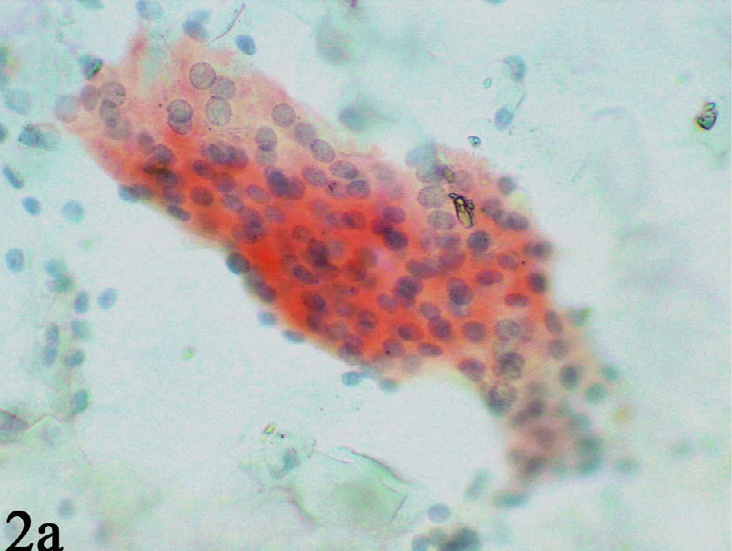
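A cohesive, crowded sheet of small epithelial cells lies on a pale background. Their nuclei are round to oval, fairly uniform, and dark blue-grey. Some nuclei at the upper edge look paler and more open. The cells share a dense orange-red cytoplasm in which individual cell borders are hard to make out. A few scattered single bare nuclei lie around the sheet. The overall picture is of a monotonous, bland cell group on a smear.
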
